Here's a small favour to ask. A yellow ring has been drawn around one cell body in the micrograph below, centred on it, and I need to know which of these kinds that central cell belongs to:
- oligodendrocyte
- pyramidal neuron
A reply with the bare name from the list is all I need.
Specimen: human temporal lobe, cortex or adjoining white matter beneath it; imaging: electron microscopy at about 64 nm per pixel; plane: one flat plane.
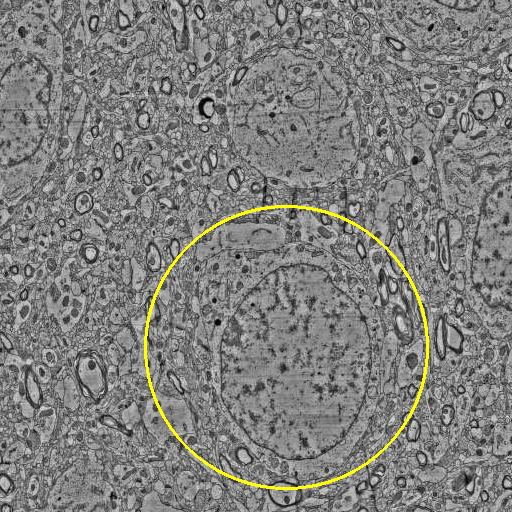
pyramidal neuron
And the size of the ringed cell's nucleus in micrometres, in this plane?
In this plane, the nucleus of the cell at the centre of the ring measures about 13 by 10 micrometres.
